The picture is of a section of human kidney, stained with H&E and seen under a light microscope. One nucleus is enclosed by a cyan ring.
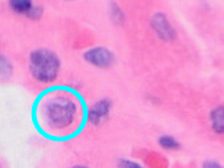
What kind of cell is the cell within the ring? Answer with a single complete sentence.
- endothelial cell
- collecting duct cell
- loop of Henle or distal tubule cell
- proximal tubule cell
In the tissue under study, the cell within the ring is a loop of Henle or distal tubule cell.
